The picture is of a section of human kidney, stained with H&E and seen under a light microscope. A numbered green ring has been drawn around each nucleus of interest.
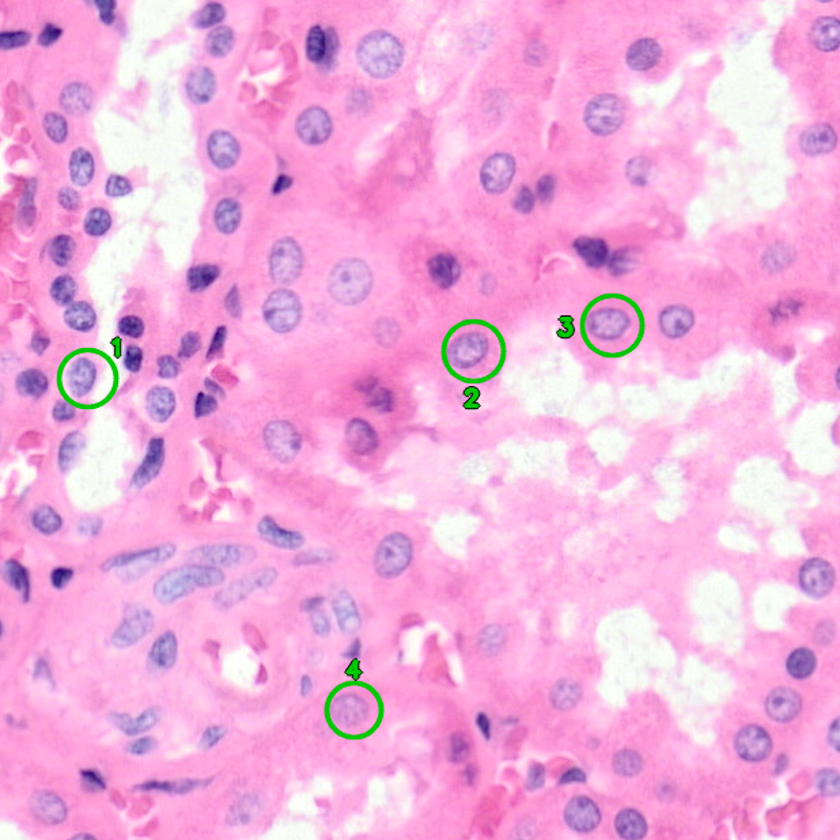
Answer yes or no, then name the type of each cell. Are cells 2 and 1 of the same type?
No, by type, cell 2 is a proximal tubule cell and cell 1 is a collecting duct cell.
